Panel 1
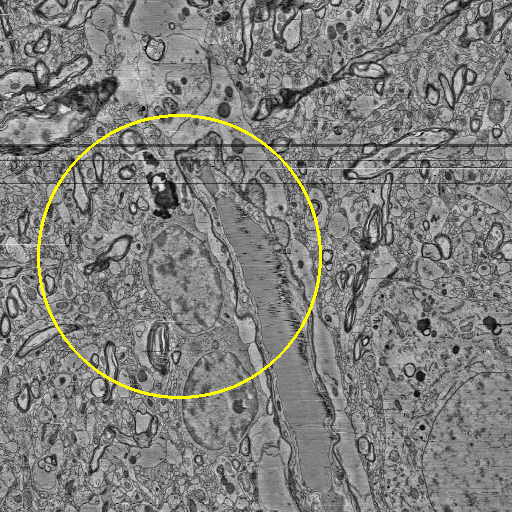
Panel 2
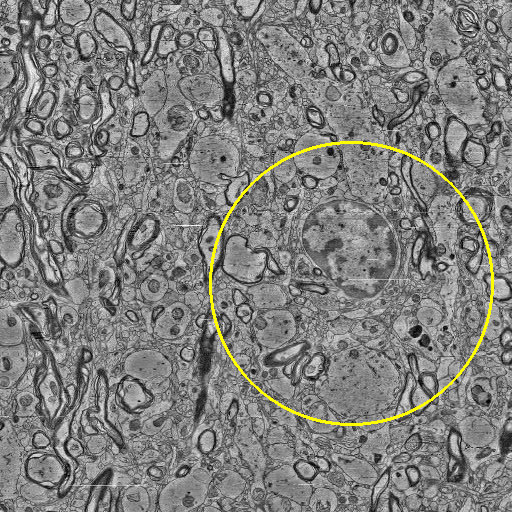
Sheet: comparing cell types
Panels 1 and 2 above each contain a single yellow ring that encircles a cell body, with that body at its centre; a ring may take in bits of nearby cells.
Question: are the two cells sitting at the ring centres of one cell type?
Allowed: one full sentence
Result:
No, the ring-centre cells in Panel 1 and Panel 2 are of two types.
